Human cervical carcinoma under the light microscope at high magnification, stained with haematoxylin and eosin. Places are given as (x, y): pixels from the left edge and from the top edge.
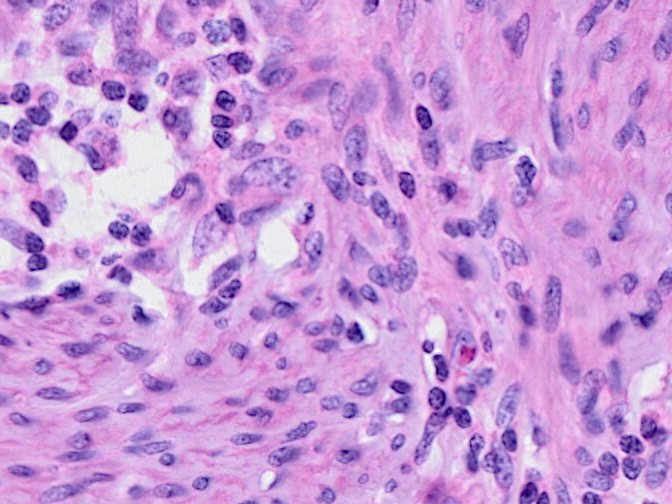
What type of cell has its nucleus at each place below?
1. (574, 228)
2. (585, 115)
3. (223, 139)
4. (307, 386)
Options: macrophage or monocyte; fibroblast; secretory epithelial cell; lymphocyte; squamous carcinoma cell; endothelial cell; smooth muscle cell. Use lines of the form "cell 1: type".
cell 1: smooth muscle cell
cell 2: smooth muscle cell
cell 3: lymphocyte
cell 4: smooth muscle cell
